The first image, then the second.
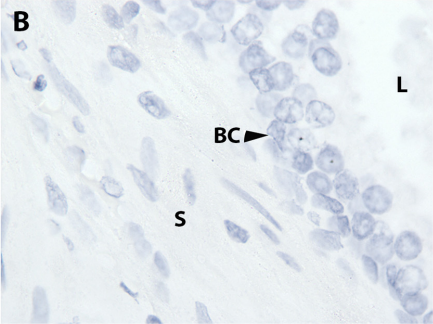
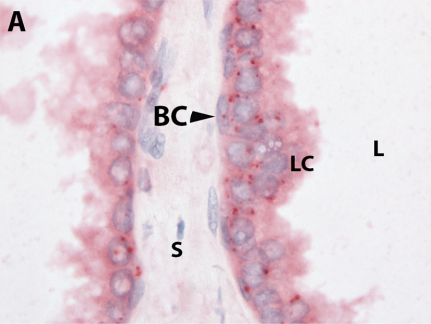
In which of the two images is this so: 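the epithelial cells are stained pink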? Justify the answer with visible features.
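The second image. First image: the epithelium and stroma show only blue nuclei on a colourless background. Second image: the epithelial cell layer and luminal border have pink cytoplasm with fine red dots.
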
